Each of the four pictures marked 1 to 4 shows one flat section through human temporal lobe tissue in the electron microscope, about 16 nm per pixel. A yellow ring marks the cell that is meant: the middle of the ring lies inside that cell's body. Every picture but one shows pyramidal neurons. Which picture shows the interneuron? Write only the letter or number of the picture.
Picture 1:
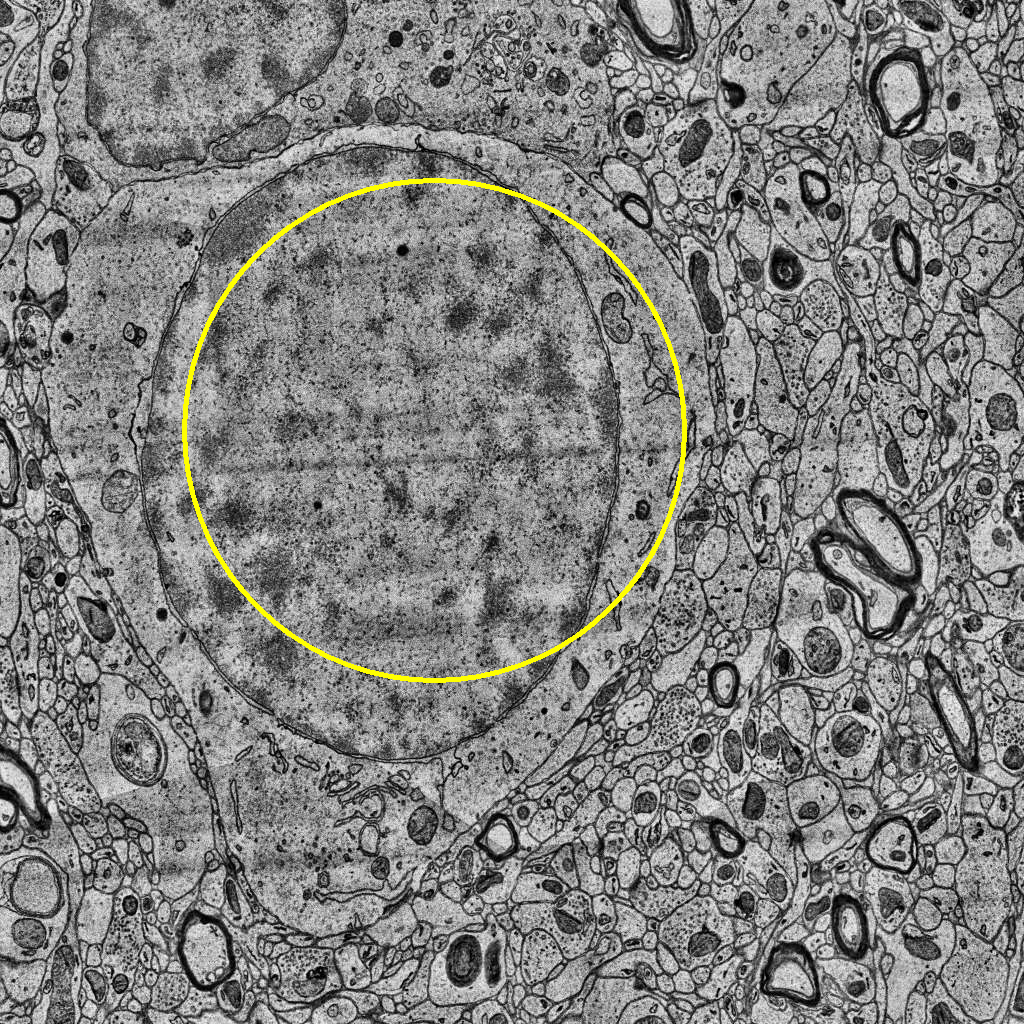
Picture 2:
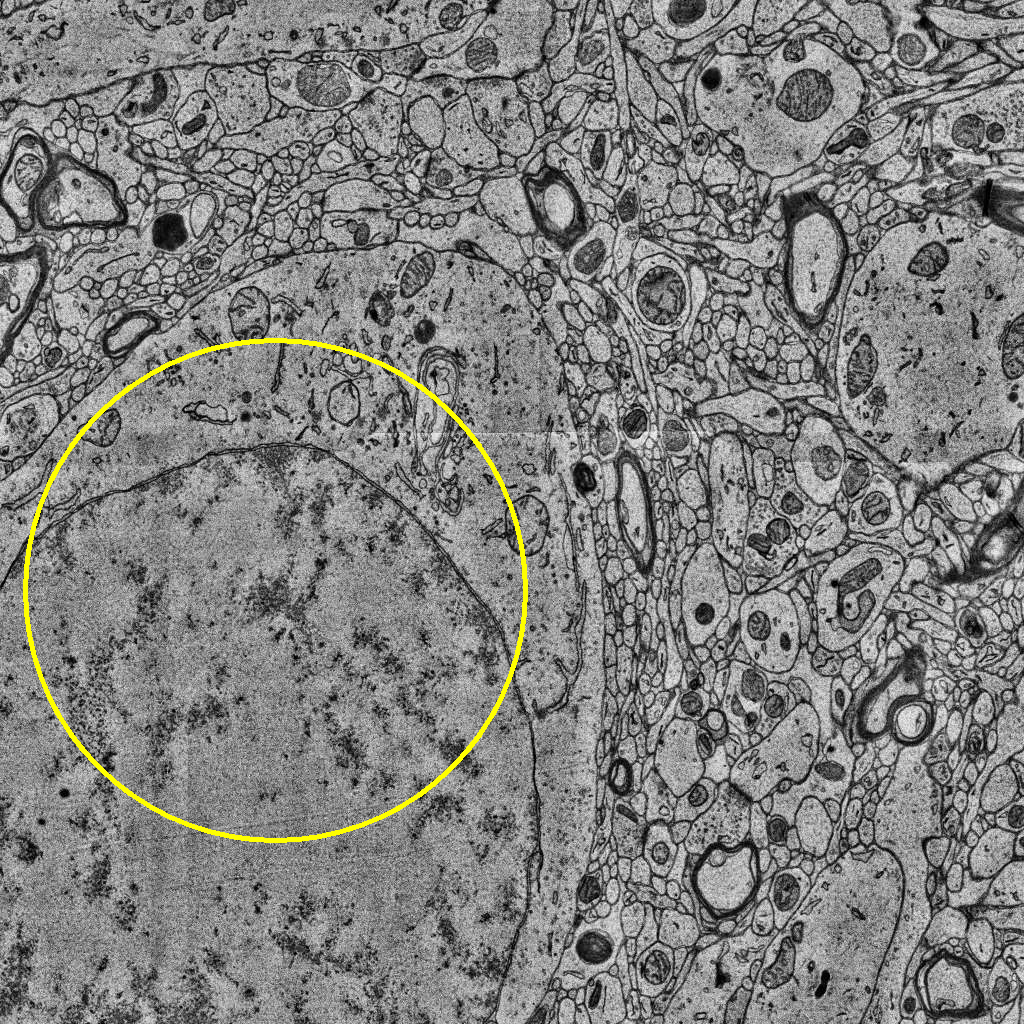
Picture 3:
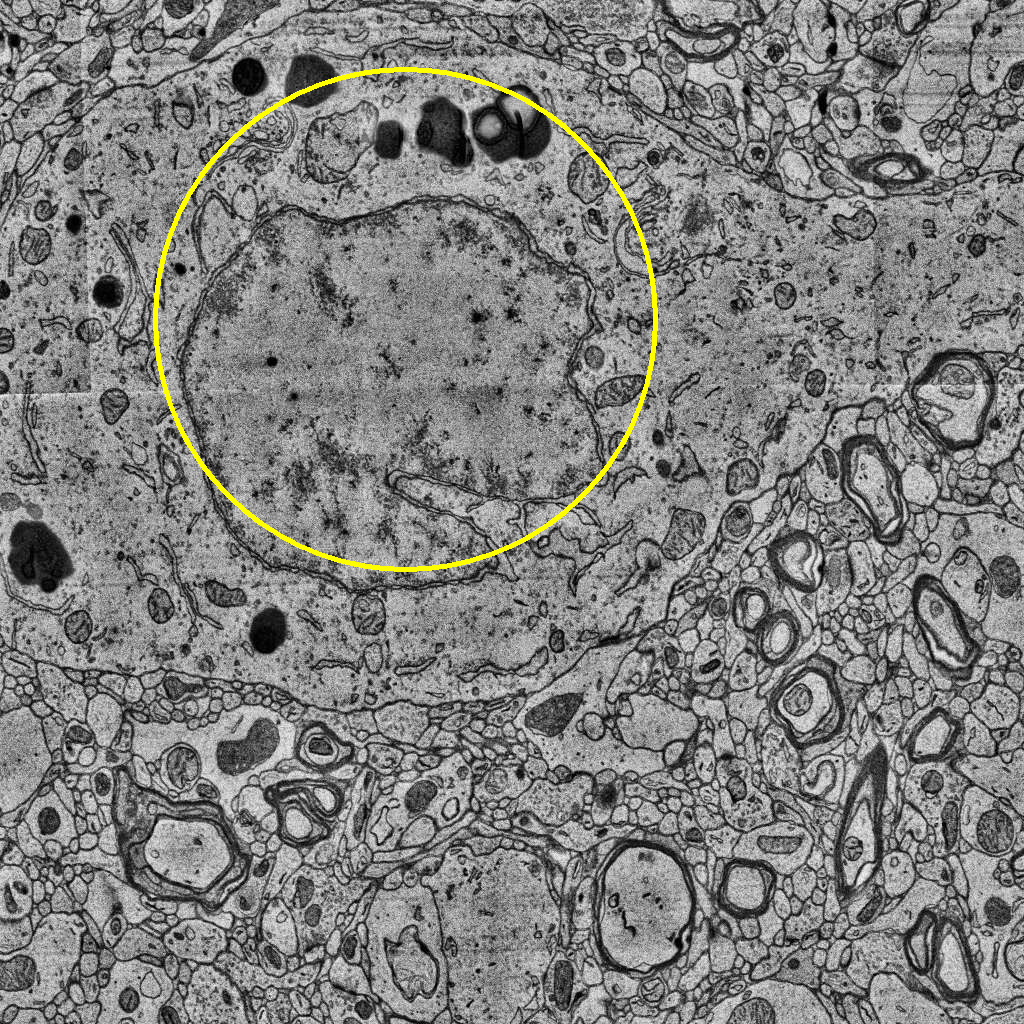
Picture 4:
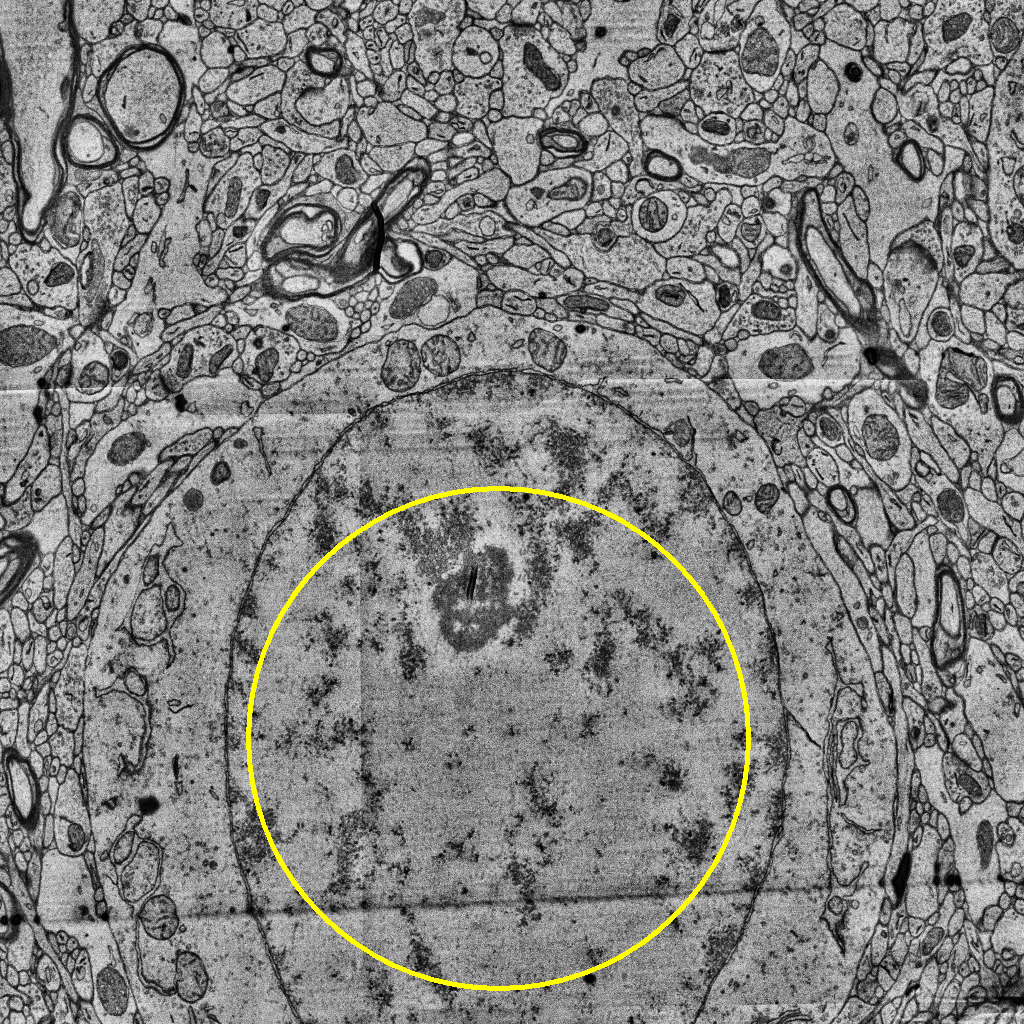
1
